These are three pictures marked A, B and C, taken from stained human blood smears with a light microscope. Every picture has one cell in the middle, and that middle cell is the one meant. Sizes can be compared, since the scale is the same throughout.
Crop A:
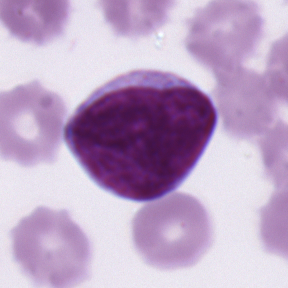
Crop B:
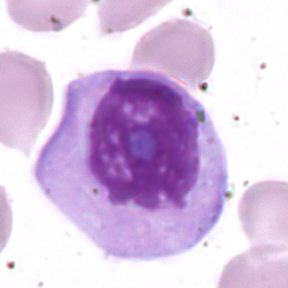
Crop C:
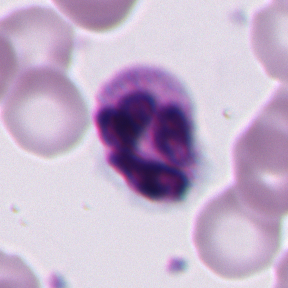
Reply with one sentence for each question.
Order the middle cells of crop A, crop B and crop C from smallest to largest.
Going up, they run C, A, B.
